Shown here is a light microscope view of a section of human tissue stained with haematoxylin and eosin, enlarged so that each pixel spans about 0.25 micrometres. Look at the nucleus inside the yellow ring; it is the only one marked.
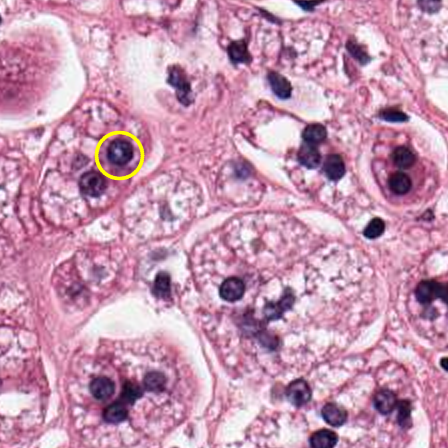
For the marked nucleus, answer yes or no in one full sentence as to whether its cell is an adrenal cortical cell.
Yes, within this field the marked nucleus is that of an adrenal cortical cell.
